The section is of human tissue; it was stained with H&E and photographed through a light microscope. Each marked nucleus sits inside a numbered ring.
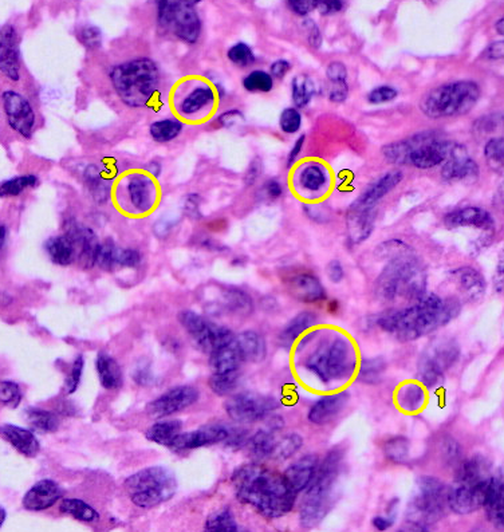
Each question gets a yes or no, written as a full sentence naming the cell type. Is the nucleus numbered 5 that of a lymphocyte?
No, number 5 is assigned to a melanoma cell, not to a lymphocyte.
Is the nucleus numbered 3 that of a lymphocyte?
No, the cell indicated by 3 is a melanoma cell instead of a lymphocyte.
